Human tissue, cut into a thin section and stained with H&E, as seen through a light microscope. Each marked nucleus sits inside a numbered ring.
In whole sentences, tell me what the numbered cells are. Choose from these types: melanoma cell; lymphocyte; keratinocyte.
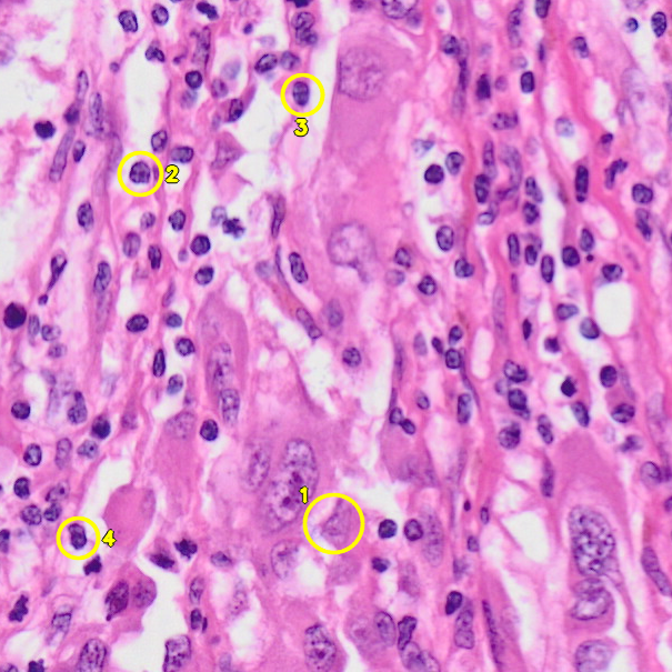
Cell 1 is a melanoma cell. Cells 2, 3 and 4 are lymphocytes.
